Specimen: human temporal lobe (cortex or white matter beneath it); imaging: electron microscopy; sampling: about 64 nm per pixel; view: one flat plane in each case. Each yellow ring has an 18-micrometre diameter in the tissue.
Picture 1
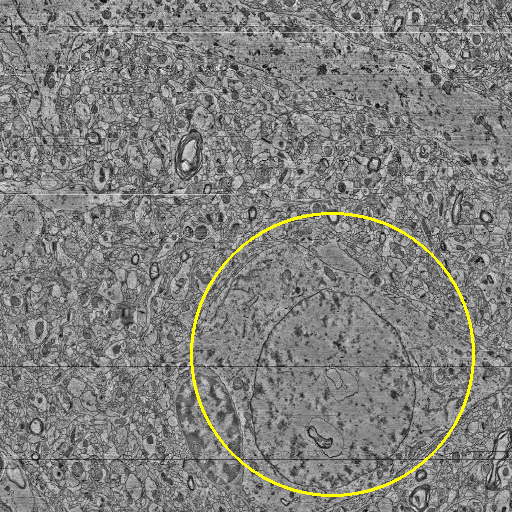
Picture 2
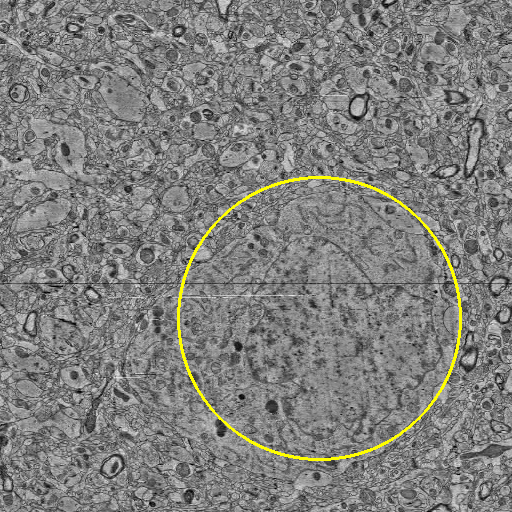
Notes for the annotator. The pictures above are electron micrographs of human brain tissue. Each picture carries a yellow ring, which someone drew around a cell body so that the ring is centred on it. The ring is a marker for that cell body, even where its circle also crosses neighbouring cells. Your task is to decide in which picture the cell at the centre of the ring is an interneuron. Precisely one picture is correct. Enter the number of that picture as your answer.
2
